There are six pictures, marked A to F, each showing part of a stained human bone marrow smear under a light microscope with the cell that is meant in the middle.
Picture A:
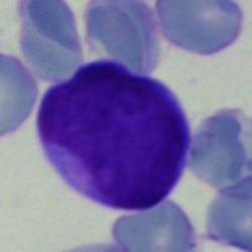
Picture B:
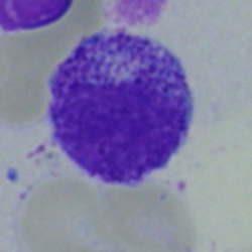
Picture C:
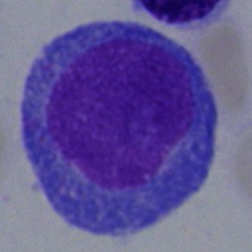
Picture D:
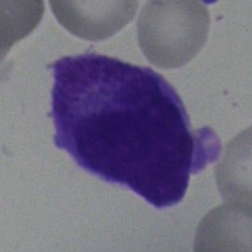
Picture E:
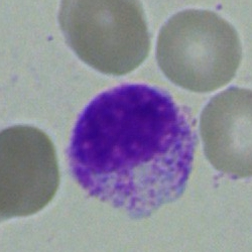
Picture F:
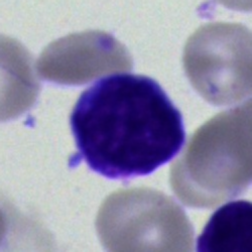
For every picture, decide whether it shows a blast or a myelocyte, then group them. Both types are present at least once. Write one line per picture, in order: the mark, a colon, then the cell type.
A: blast
B: myelocyte
C: blast
D: blast
E: myelocyte
F: blast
